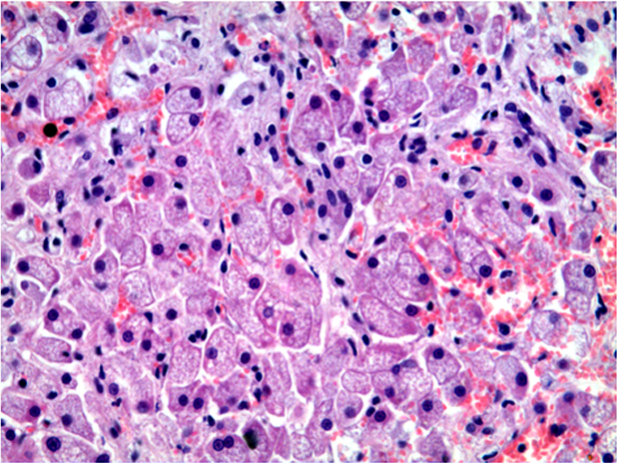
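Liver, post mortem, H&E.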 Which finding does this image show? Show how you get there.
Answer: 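The cytoplasm of the large cells is pale and finely bubbly rather than uniformly pink. Many cells look swollen with light, granular-to-foamy cytoplasm.
Answer: foamy, vacuolated appearance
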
